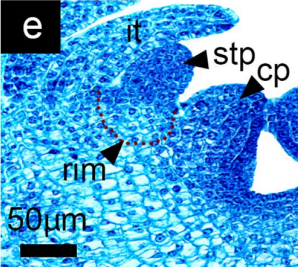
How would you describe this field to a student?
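A small cluster of tightly packed, darkly stained cells bounded by a red dotted line bears a single rounded bulge, with a further bulge to the right beside an open cavity. Above them an elongated leaf-like organ rises. The surrounding tissue below consists of larger, paler, box-like cells in rows, suggesting division and growth pushing the organs upward.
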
